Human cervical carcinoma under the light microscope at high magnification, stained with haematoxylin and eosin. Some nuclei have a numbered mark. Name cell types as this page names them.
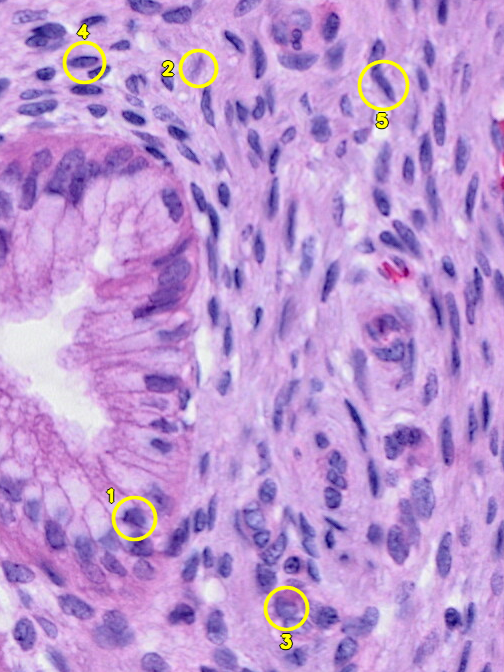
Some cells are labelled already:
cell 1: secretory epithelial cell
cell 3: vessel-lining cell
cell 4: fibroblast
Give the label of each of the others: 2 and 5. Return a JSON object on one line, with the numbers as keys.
{"2": "fibroblast", "5": "fibroblast"}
